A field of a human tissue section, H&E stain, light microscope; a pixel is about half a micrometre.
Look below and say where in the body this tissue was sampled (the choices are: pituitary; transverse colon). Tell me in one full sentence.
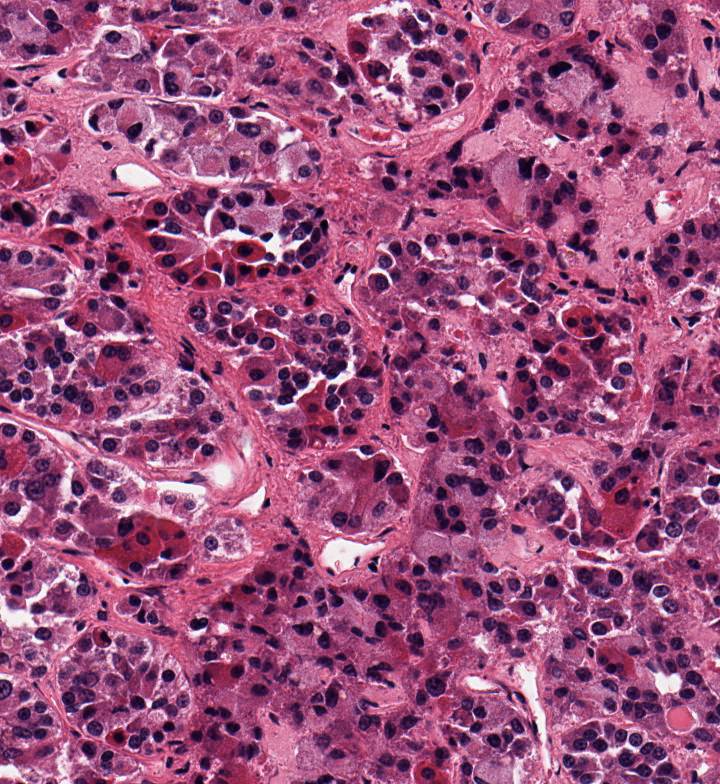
The sample was taken from the pituitary.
